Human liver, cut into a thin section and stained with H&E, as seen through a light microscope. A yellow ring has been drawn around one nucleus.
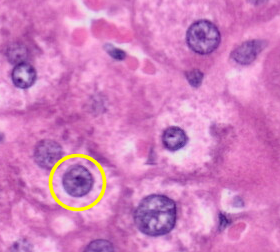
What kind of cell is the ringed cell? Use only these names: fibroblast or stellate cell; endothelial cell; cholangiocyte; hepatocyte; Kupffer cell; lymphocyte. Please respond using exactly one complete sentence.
Considered by cell type, the ringed cell is a hepatocyte.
